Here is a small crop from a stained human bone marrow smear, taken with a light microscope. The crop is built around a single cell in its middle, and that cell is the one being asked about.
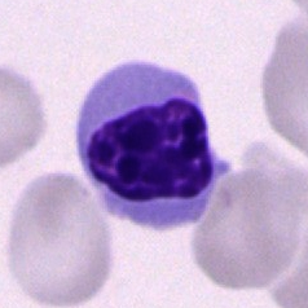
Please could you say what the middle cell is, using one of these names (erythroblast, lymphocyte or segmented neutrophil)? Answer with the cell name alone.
erythroblast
